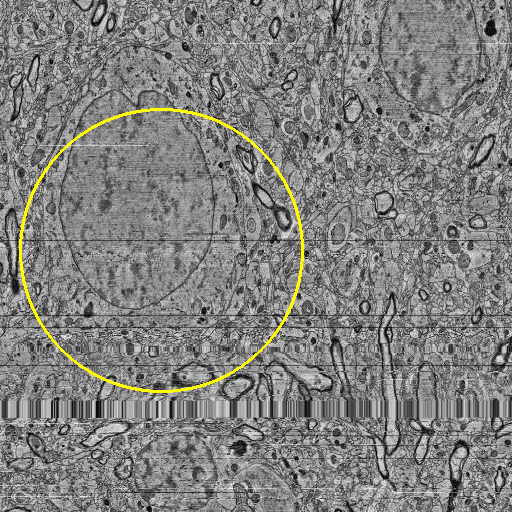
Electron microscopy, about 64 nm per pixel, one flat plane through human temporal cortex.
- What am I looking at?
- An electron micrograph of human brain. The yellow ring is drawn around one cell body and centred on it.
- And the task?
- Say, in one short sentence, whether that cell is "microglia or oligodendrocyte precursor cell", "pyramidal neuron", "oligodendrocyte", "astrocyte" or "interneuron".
The cell in the middle of the ring is a pyramidal neuron.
